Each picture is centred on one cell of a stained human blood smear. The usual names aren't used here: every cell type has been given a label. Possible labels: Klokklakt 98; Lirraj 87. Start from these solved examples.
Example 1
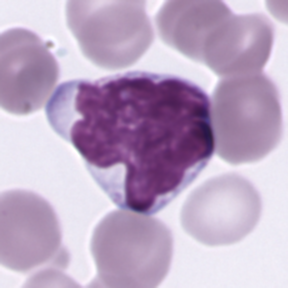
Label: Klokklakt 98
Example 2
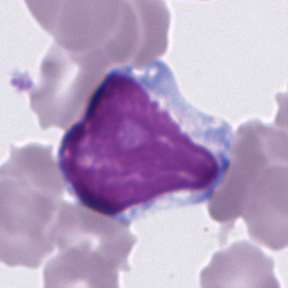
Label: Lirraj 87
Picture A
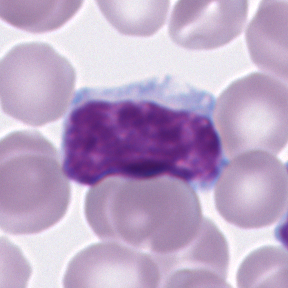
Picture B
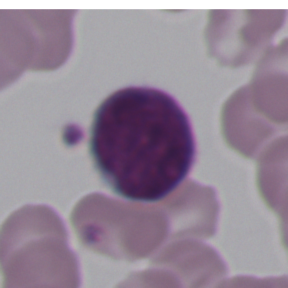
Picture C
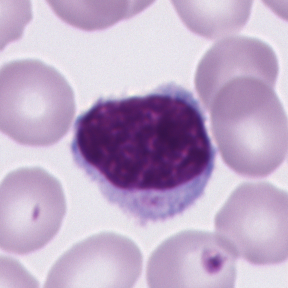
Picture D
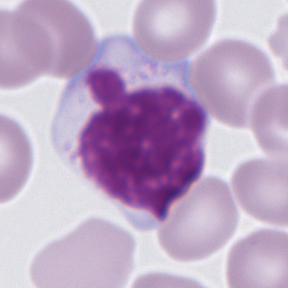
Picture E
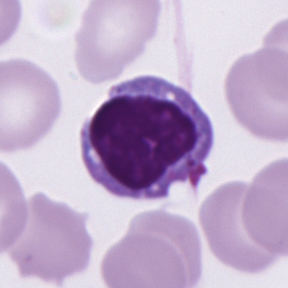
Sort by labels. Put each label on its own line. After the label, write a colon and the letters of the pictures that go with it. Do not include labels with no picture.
Klokklakt 98: D
Lirraj 87: A, B, C, E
